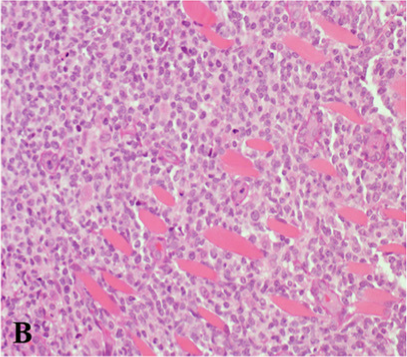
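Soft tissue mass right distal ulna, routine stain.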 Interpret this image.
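A dense sheet of small round cells with dark nuclei surrounds many pink, cut fibres lying in roughly parallel rows. This is a predominantly lymphocytic infiltrate spreading between skeletal muscle fibres and separating them.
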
